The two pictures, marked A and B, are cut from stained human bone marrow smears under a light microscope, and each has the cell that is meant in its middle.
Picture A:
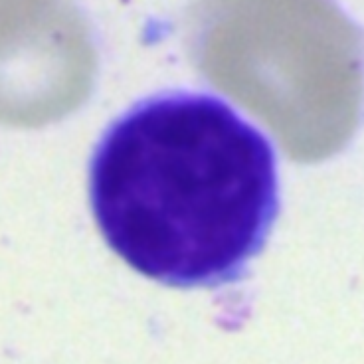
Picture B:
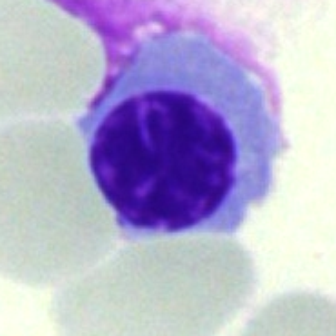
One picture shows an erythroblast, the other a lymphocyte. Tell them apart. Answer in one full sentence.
Picture A is of a lymphocyte, and picture B is of an erythroblast.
